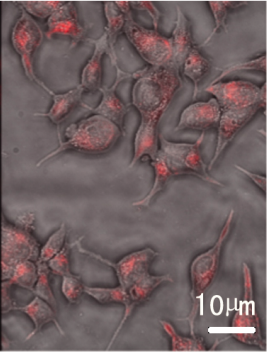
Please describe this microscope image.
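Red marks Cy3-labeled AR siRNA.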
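The cells are small, angular to spindle-shaped, and grow in loose clusters, many sending out thin, long processes that reach neighbouring cells. Their cytoplasm looks granular and nuclei are only faintly outlined. Red dots and small patches of fluorescence lie scattered within the cell bodies, in cytoplasm rather than in the gaps between cells, varying in brightness from cell to cell. Open, empty background separates the groups of cells.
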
